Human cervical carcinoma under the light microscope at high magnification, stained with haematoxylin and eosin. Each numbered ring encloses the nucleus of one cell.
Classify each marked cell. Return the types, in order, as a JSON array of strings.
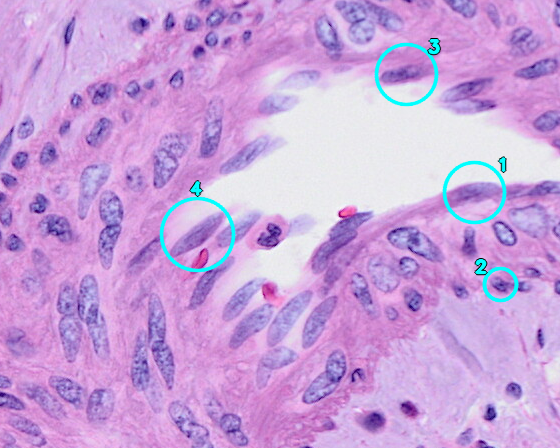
["endothelial cell", "smooth muscle cell", "endothelial cell", "endothelial cell"]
